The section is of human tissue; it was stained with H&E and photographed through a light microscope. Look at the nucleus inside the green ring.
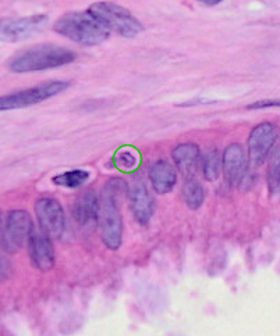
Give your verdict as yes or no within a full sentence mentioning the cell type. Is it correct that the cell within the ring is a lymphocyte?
No, it is not as a lymphocyte but as a secretory epithelial cell that the cell within the ring is classed.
